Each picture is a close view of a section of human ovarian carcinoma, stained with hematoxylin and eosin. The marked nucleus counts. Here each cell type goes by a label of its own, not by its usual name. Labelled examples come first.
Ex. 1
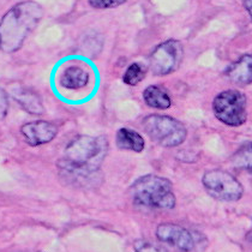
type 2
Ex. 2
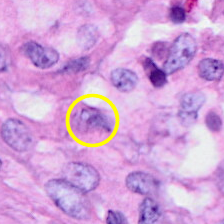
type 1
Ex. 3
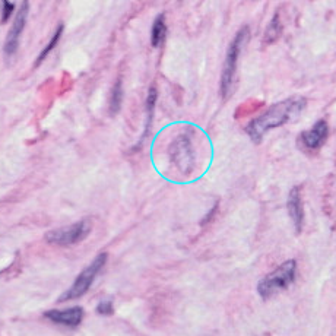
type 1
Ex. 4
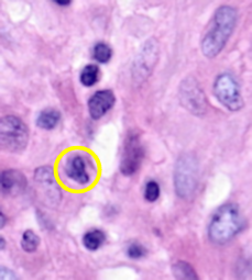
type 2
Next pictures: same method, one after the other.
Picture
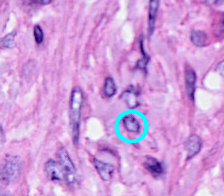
type 1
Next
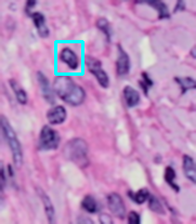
type 2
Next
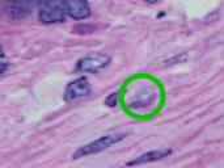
type 1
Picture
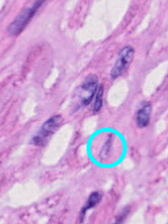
type 1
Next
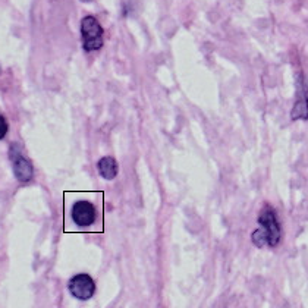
type 2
